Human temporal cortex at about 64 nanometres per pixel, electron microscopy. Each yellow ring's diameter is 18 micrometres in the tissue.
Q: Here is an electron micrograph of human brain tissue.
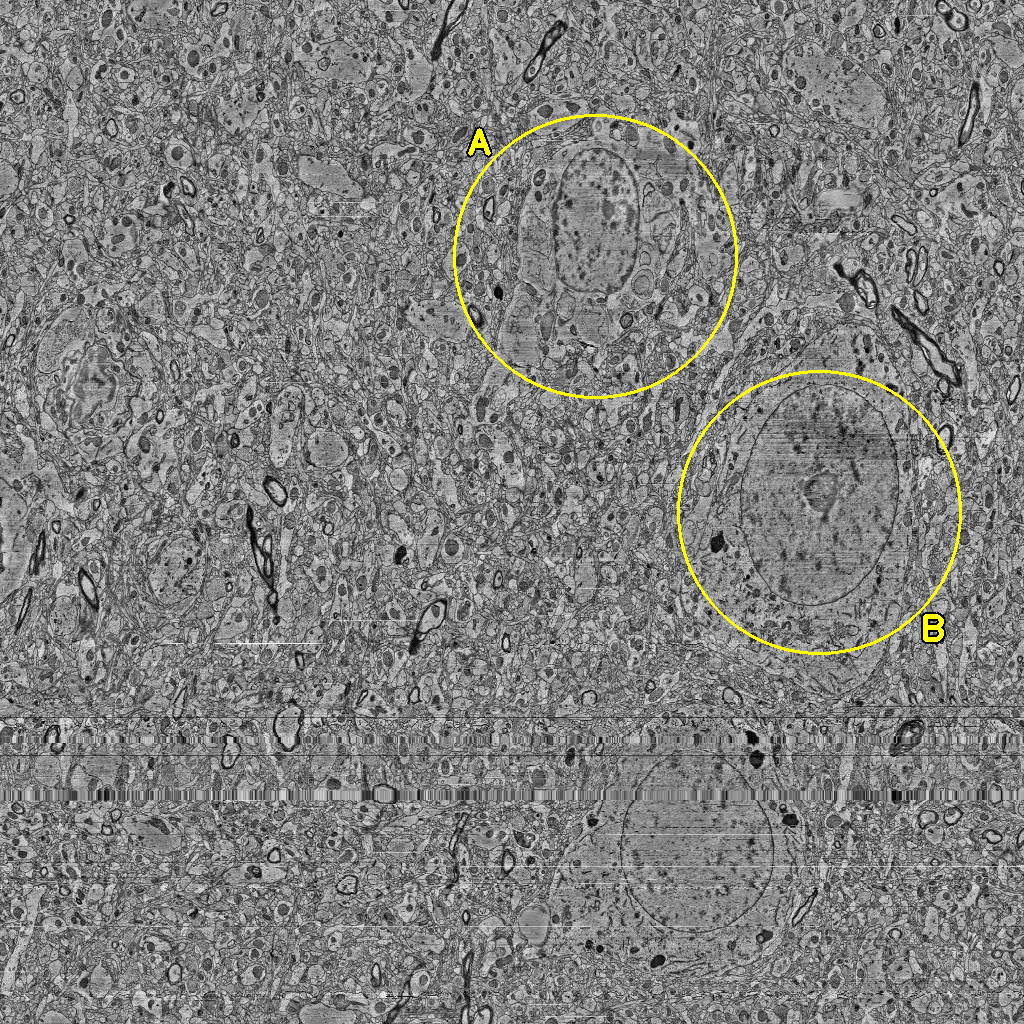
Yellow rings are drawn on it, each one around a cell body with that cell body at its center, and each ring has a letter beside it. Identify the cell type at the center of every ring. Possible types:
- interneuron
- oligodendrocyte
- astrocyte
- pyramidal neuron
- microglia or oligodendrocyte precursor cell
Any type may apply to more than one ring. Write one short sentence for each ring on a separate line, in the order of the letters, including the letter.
Centered in ring A is an astrocyte.
Centered in ring B is a pyramidal neuron.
